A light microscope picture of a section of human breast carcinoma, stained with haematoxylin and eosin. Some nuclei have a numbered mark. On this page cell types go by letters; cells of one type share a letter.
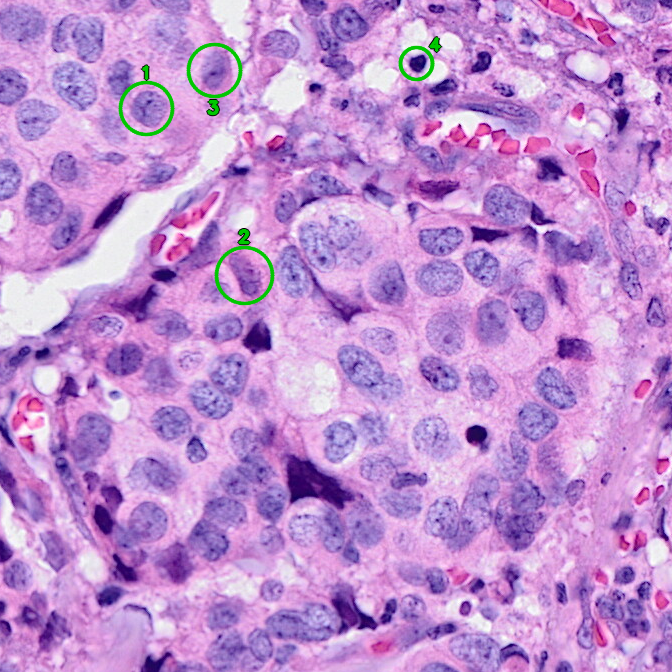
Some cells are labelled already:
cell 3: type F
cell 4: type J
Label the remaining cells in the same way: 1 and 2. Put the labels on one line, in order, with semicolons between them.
type F; type F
